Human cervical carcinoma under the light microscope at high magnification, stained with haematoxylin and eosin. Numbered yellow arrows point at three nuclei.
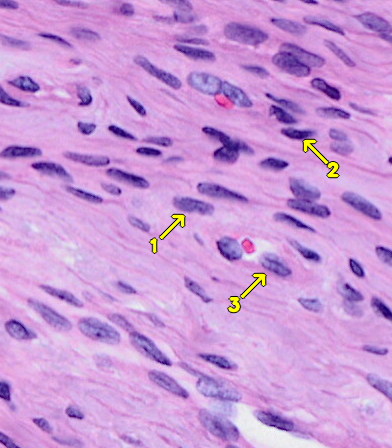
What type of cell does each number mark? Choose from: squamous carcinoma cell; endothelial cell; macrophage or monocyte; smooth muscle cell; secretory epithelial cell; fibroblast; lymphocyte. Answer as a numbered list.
1. fibroblast
2. fibroblast
3. endothelial cell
